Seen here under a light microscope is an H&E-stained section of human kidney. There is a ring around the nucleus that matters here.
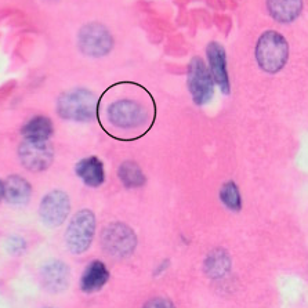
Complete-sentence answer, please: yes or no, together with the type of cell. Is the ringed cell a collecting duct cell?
Yes, the ringed cell is properly called a collecting duct cell in this section.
